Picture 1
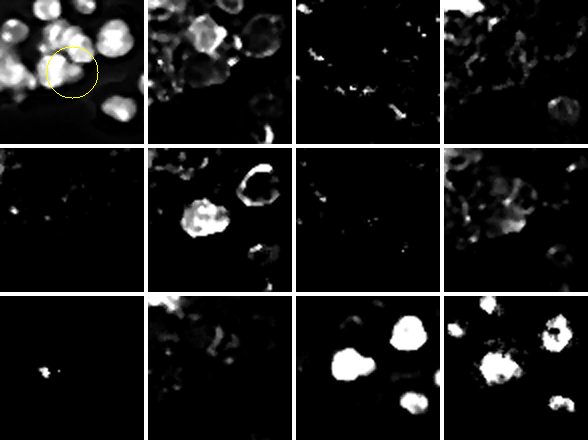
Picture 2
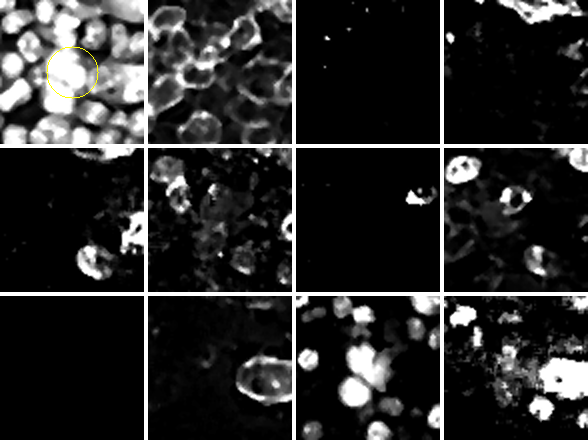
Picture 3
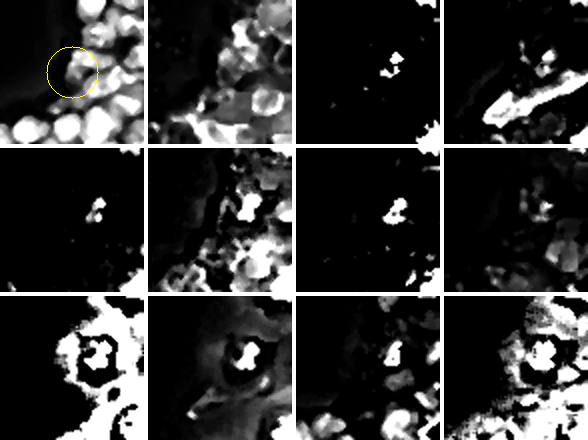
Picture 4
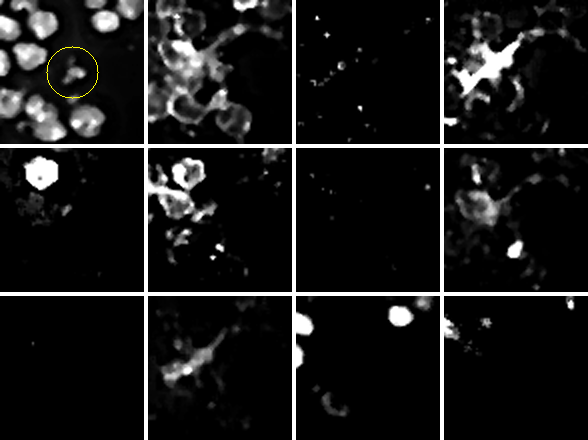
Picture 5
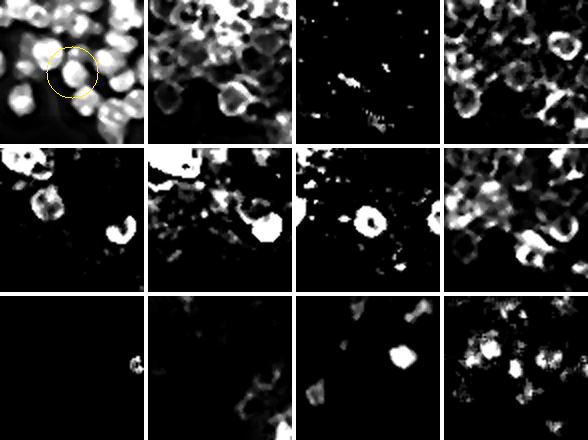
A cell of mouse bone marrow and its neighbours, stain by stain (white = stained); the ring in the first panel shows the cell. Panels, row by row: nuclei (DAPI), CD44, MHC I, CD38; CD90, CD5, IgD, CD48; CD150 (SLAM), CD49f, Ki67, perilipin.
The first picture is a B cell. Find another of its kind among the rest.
Picture 5.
